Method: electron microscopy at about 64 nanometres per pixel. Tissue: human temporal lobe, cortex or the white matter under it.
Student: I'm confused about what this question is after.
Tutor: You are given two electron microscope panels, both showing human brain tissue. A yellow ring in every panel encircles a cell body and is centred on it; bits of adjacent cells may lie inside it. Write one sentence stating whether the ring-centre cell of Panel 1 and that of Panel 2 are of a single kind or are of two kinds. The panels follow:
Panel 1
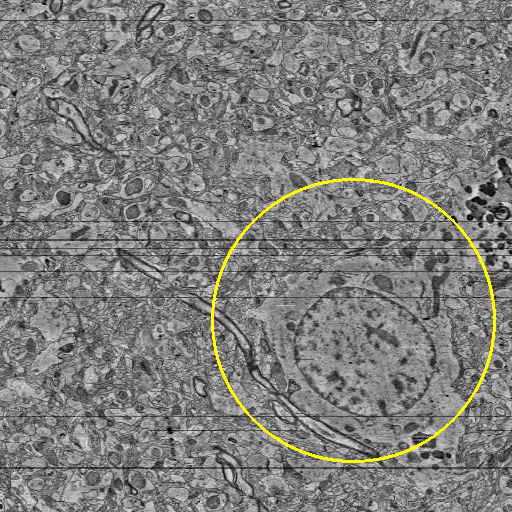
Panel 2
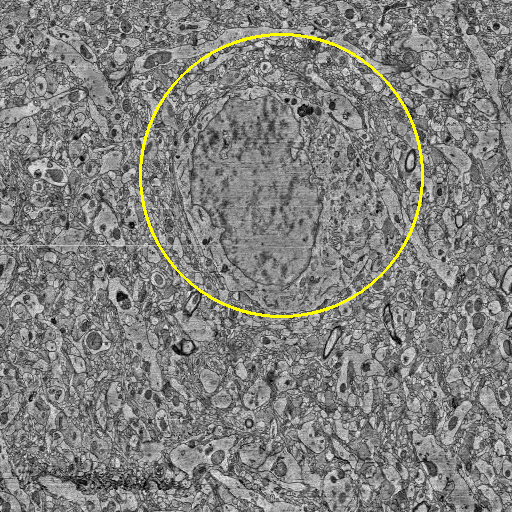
Here, the Panel 1 ring-centre cell and the Panel 2 ring-centre cell are of two kinds.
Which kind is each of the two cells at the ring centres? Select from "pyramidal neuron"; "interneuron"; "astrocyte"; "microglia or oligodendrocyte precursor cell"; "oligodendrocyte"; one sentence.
The cell at the centre of the ring is an astrocyte in the first picture and an interneuron in the second.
